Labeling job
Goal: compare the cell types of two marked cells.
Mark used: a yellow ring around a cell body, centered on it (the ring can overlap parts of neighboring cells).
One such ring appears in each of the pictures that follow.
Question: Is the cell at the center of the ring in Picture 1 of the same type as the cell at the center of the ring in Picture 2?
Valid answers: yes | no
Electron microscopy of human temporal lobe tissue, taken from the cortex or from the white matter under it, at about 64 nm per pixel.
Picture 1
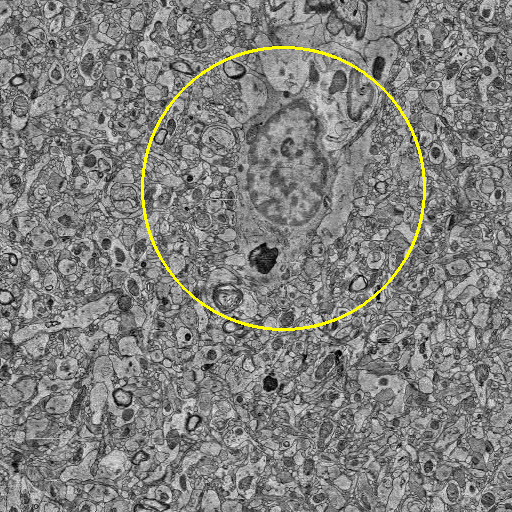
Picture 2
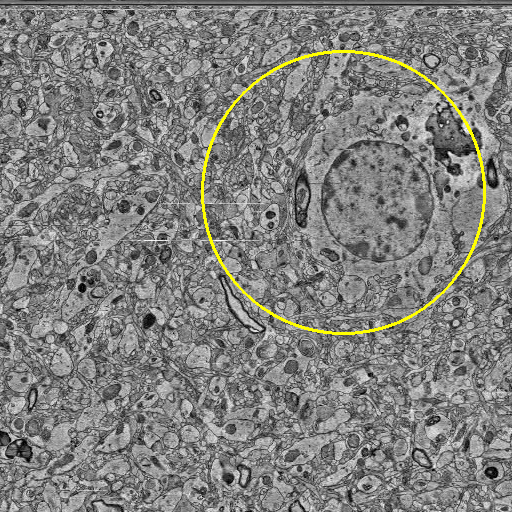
no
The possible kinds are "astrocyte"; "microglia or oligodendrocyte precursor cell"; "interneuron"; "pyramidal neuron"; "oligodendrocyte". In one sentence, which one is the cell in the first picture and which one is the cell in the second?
The cell ringed in the second picture is an astrocyte, whereas the one ringed in the first is an oligodendrocyte.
